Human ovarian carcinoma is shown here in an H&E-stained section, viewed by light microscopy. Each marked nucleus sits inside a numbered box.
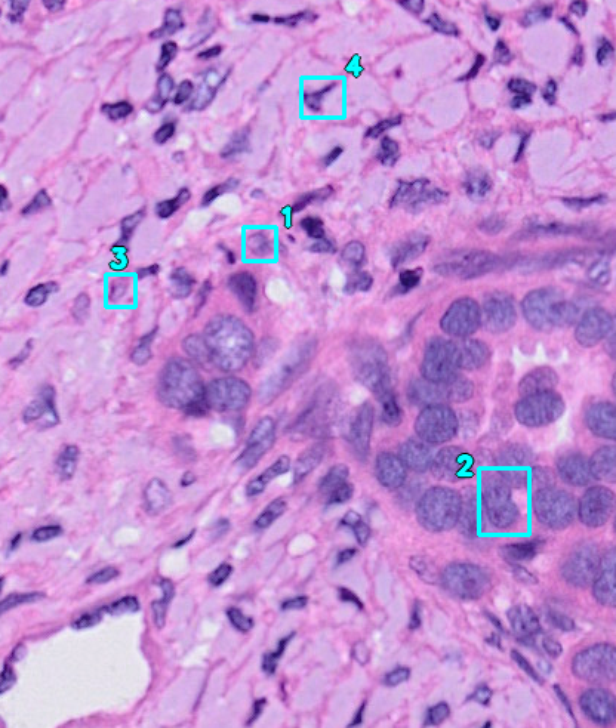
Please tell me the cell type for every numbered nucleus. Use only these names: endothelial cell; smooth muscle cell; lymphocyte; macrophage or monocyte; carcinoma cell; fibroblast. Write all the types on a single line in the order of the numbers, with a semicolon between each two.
fibroblast; carcinoma cell; fibroblast; fibroblast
